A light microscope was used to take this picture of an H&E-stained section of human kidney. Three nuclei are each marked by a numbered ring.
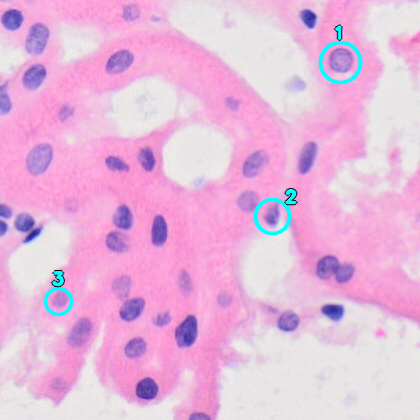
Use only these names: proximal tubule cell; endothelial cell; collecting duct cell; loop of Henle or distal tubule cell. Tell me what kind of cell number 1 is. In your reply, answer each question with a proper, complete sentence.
The label 1 in this section denotes a proximal tubule cell.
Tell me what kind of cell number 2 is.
Within this field of view, the cell labelled 2 is an endothelial cell.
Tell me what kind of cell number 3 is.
The expected answer is that cell 3 is a proximal tubule cell.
